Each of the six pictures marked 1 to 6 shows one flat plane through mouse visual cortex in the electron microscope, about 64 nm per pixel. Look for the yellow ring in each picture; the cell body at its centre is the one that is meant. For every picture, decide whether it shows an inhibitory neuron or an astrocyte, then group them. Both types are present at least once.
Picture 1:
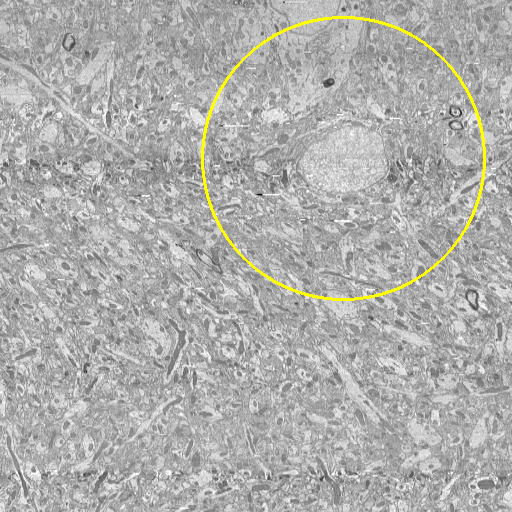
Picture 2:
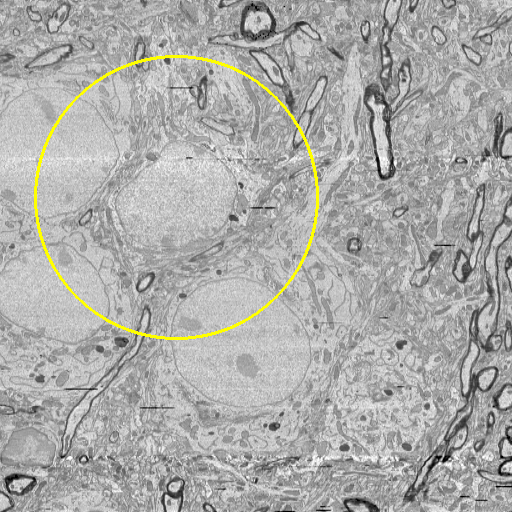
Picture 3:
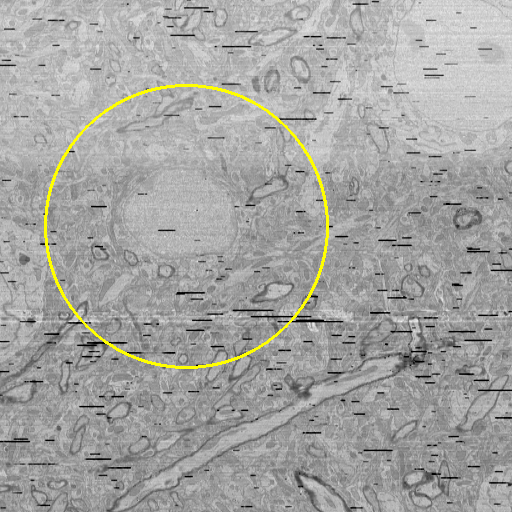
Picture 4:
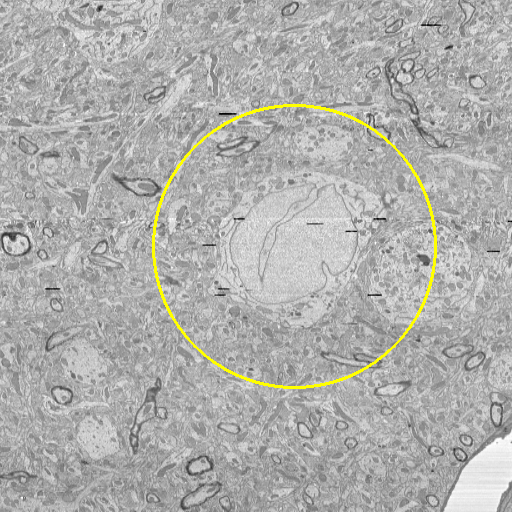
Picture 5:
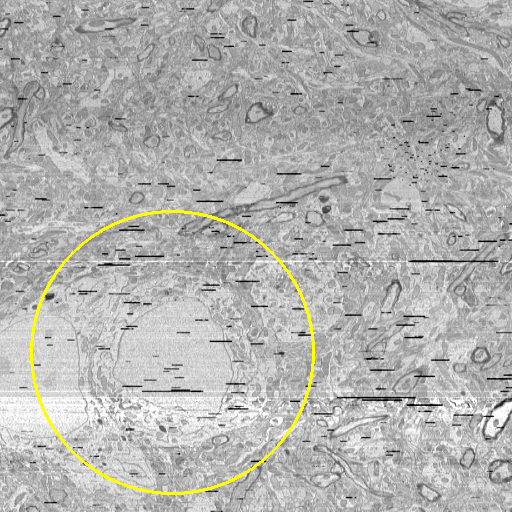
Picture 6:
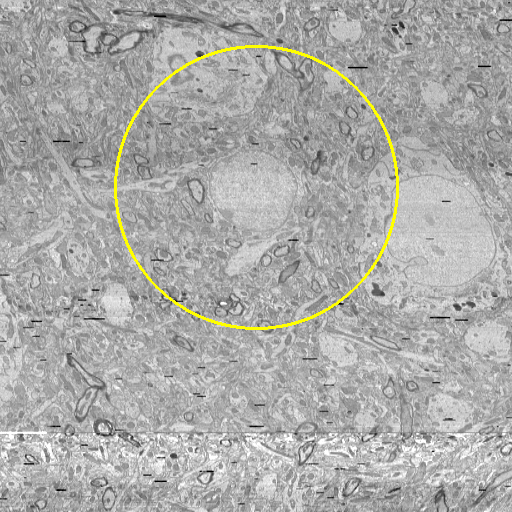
Pictures 4 and 5 show inhibitory neurons, while pictures 1, 2, 3 and 6 show astrocytes.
